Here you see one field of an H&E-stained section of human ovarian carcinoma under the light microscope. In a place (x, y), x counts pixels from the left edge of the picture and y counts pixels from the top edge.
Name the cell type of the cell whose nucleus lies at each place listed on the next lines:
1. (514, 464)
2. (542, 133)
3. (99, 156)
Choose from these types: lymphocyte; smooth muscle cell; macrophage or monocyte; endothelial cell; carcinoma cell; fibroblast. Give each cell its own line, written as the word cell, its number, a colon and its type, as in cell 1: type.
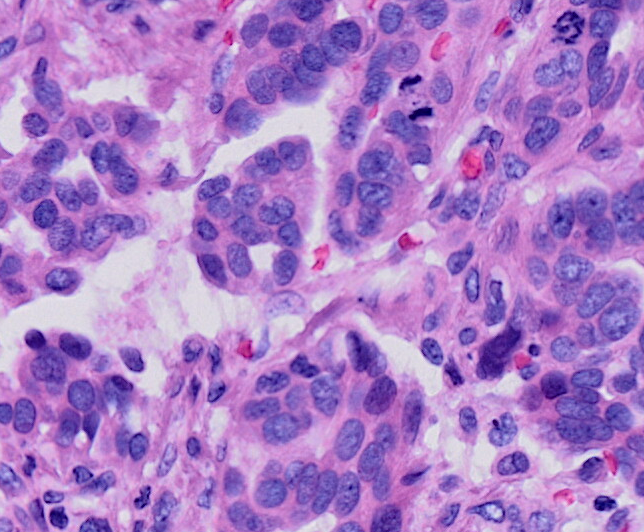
cell 1: macrophage or monocyte
cell 2: carcinoma cell
cell 3: carcinoma cell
